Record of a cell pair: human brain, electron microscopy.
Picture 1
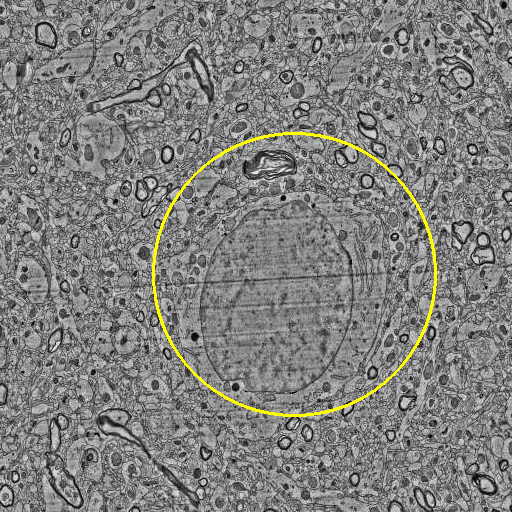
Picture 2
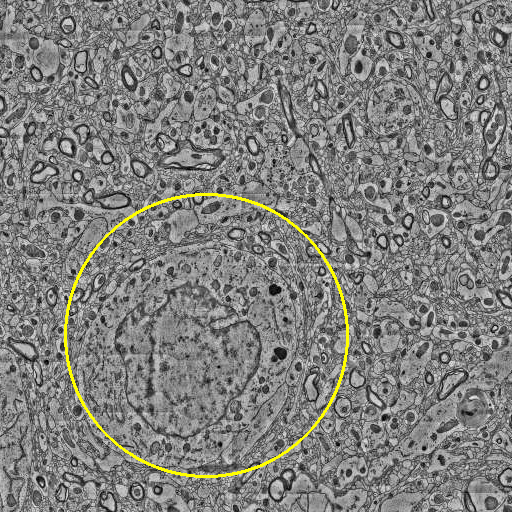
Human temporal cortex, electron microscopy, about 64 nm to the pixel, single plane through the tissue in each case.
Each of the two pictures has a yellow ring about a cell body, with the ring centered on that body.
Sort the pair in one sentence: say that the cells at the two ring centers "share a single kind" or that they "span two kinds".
The cells centered in the rings of Pictures 1 and 2 share a single kind.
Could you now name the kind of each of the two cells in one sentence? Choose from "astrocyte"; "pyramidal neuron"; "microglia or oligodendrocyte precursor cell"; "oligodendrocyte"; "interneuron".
Each one of the two ringed cells is an interneuron.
